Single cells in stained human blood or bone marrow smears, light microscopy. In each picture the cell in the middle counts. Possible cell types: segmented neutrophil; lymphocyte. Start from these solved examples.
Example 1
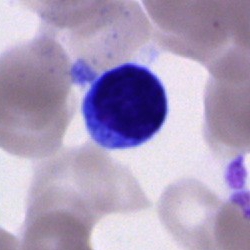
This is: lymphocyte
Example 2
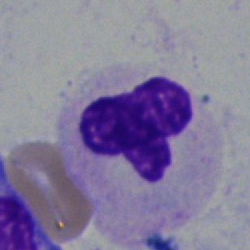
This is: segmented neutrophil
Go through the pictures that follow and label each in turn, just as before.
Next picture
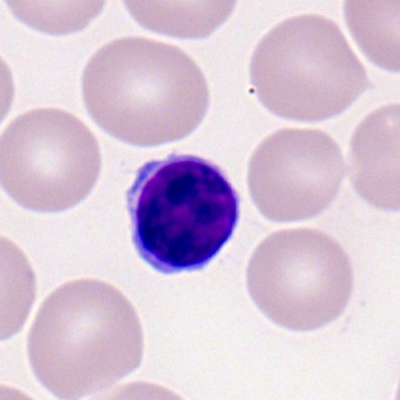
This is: lymphocyte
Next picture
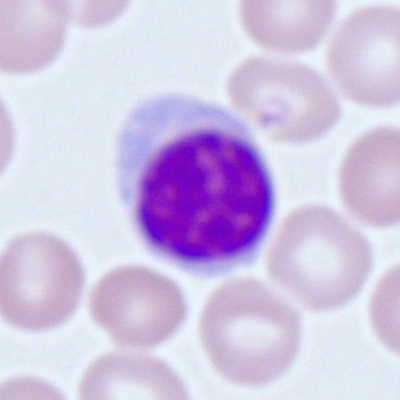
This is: lymphocyte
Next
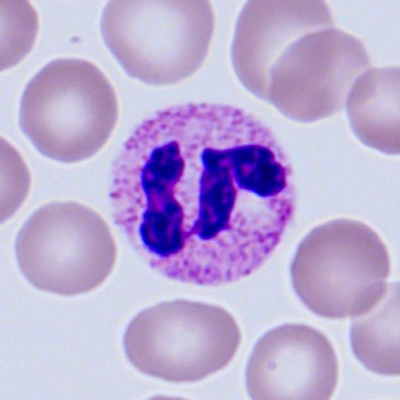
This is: segmented neutrophil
